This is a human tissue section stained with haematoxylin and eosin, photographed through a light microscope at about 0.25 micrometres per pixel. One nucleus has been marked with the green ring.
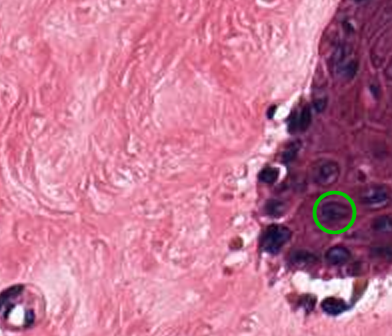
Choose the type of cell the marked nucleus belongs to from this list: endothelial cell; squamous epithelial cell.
squamous epithelial cell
